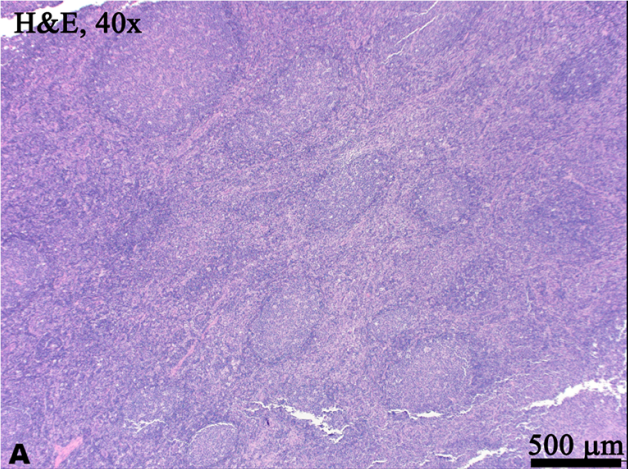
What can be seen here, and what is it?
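At low power this lymph node shows reactive follicular hyperplasia. Numerous rounded follicles are scattered across the section, and they vary clearly in size and shape, some round, others oval or irregular. Each has a paler pink-purple germinal center surrounded by a darker purple rim of tightly packed small lymphocytes, the mantle zone. Between the follicles lies tissue of intermediate density, with a few pink strands. The follicles are more numerous and prominent than one would expect in a resting node.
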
